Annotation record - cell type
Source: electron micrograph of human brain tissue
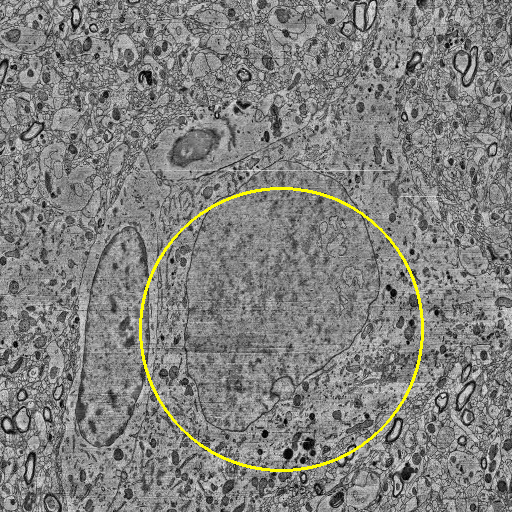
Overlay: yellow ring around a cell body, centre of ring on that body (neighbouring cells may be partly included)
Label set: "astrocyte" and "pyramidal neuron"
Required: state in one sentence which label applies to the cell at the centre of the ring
This cell should be labelled as a pyramidal neuron.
